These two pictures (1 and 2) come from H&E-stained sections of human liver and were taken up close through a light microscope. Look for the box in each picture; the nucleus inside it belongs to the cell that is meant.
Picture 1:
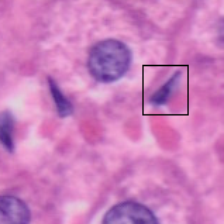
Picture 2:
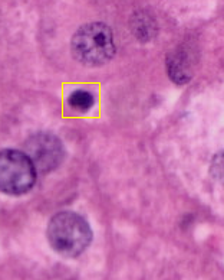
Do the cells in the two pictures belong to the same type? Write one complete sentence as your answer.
No, picture 1 shows an endothelial cell and picture 2 shows a lymphocyte.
